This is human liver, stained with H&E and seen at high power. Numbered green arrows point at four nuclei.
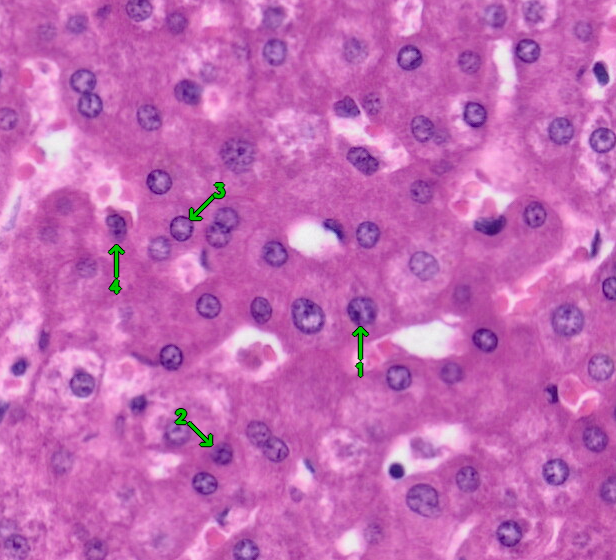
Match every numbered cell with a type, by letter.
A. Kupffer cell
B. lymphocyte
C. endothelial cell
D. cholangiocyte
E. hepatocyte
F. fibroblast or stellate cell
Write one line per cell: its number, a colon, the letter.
1: E
2: E
3: E
4: A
